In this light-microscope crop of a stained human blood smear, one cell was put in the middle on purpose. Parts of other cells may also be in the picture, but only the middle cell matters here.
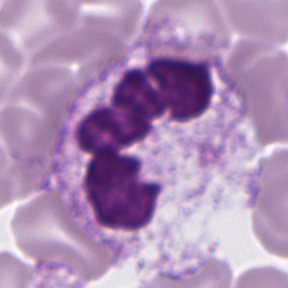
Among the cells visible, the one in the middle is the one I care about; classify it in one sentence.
The cell sitting right in the middle is a neutrophil.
